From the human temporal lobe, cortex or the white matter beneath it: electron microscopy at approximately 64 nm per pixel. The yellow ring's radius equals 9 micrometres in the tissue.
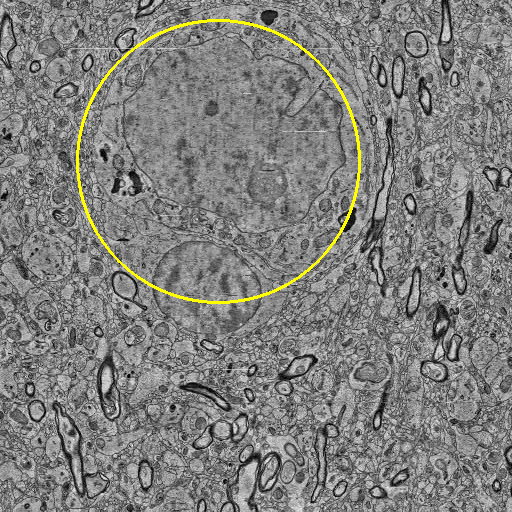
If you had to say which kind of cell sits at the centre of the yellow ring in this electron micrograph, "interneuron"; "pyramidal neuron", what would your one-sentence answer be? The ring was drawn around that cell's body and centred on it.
The cell sitting at the centre of the ring is an interneuron.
